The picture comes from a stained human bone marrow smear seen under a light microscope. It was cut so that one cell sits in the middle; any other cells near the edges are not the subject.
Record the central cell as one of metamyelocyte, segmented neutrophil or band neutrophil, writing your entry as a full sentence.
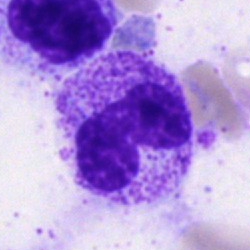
The cell at the middle of the crop is recognized as a metamyelocyte.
